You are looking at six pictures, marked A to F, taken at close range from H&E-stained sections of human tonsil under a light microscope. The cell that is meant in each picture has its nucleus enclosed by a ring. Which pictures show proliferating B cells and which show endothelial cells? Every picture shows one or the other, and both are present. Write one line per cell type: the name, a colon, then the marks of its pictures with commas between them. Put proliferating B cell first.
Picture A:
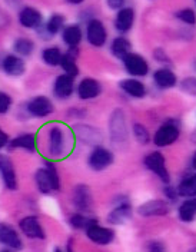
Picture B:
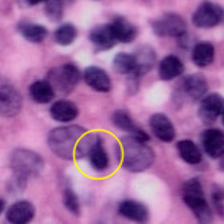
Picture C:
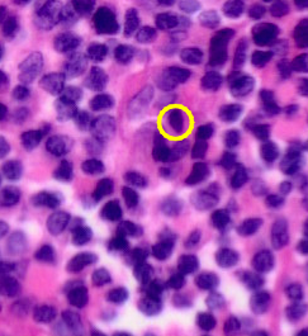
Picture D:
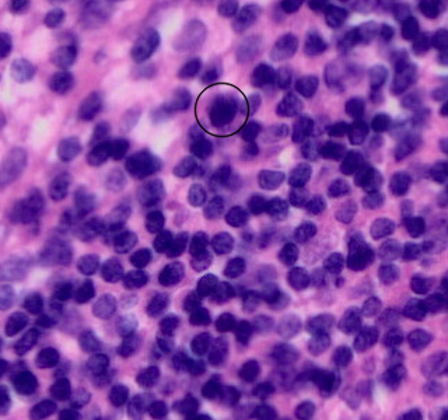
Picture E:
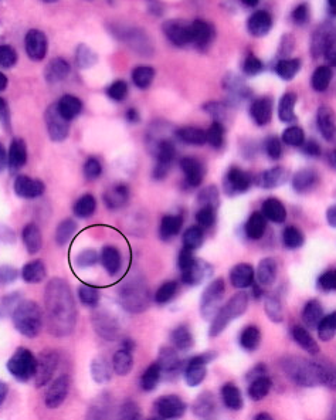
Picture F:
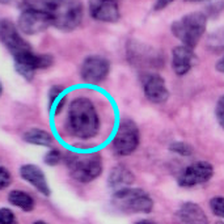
proliferating B cell: D, F
endothelial cell: A, B, C, E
